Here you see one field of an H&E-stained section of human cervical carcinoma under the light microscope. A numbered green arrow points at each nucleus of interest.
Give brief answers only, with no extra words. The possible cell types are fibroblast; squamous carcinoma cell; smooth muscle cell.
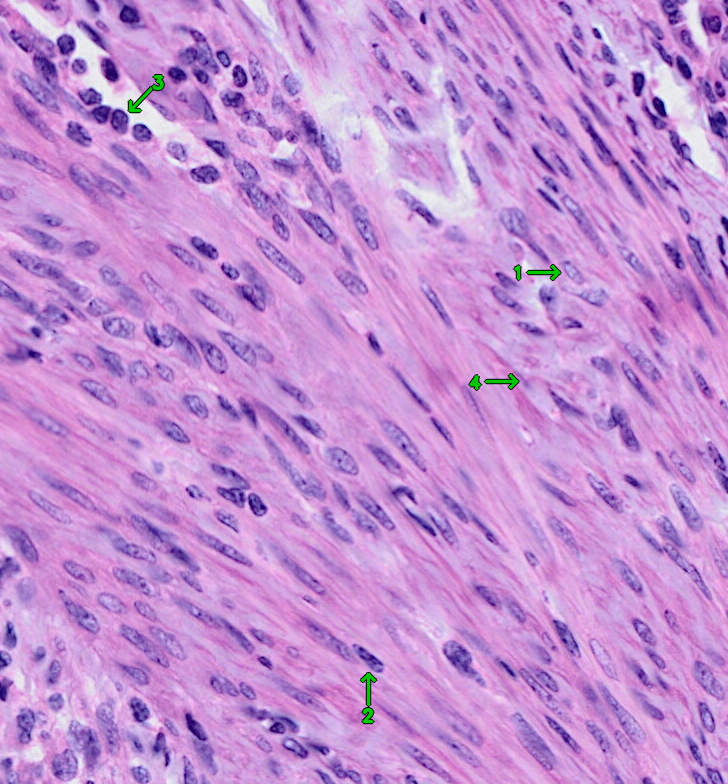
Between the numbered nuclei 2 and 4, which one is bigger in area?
2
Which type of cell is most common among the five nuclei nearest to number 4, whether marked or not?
smooth muscle cell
